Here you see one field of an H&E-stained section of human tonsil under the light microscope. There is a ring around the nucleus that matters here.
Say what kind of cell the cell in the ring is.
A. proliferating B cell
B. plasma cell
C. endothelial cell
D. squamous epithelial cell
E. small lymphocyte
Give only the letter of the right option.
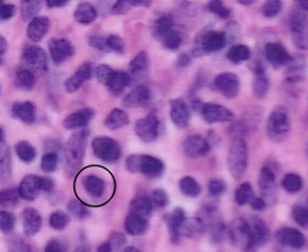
E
